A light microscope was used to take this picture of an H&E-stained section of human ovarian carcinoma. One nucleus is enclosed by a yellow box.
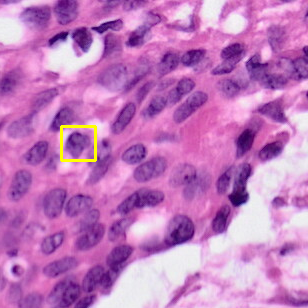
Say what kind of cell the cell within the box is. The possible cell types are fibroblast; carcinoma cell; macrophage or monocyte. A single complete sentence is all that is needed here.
Typologically, the cell within the box is a macrophage or monocyte in this section.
